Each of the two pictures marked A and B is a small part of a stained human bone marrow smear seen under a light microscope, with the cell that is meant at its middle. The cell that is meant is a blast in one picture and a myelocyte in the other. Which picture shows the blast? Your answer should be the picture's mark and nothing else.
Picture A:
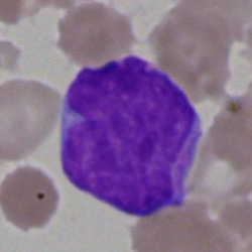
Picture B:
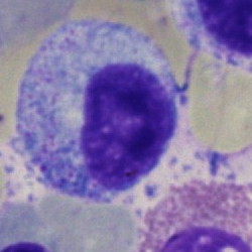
A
